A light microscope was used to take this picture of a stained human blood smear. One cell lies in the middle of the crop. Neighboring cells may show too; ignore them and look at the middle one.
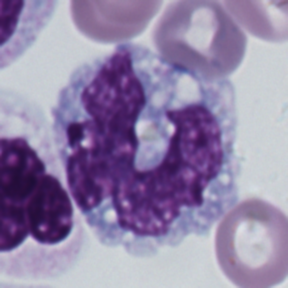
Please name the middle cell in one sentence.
The cell at the middle of the crop is recognized as a monocyte.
